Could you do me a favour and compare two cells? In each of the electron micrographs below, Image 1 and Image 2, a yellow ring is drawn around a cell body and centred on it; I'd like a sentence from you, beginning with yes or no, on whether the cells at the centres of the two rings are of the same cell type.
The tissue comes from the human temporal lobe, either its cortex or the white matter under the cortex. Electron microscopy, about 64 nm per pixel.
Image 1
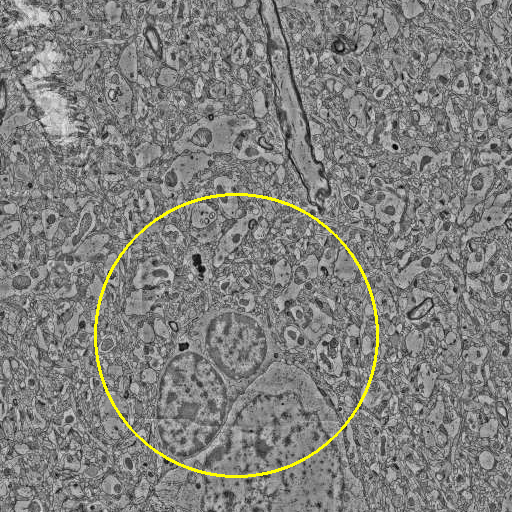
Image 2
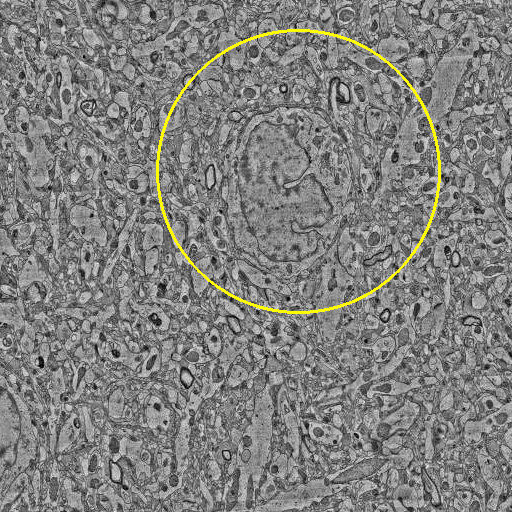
No, the two cells are of two cell types.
